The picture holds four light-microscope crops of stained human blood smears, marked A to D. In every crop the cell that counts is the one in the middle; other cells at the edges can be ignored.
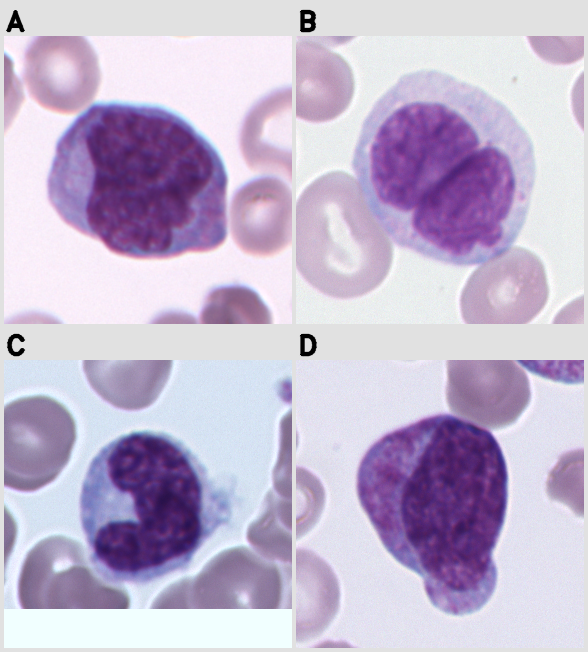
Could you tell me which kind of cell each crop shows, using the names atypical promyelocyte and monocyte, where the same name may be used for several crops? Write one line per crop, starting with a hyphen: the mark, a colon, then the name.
- A: atypical promyelocyte
- B: atypical promyelocyte
- C: monocyte
- D: atypical promyelocyte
